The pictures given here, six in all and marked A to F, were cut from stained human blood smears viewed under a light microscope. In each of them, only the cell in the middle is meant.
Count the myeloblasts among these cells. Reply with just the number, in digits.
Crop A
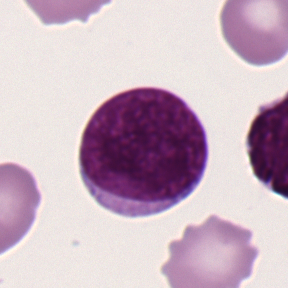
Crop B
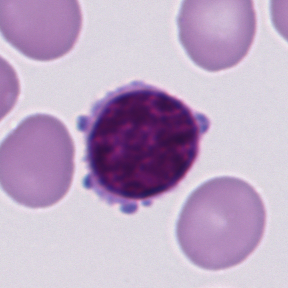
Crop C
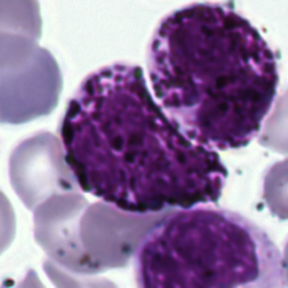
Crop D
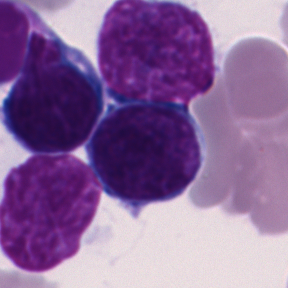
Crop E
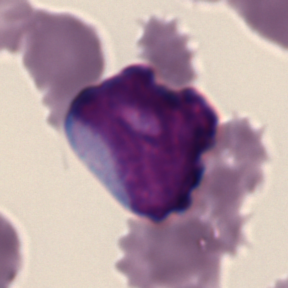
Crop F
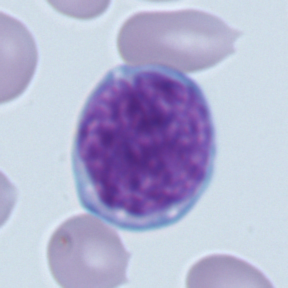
4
